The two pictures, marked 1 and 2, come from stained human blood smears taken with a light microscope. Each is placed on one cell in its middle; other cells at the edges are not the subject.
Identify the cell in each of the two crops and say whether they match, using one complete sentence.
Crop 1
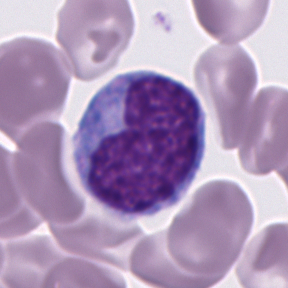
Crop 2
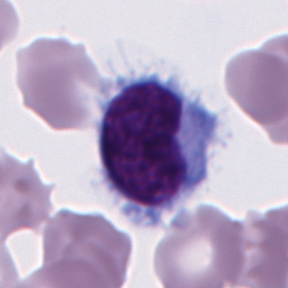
No, in this case crop 1 shows a monocyte, and crop 2 shows a hairy cell.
